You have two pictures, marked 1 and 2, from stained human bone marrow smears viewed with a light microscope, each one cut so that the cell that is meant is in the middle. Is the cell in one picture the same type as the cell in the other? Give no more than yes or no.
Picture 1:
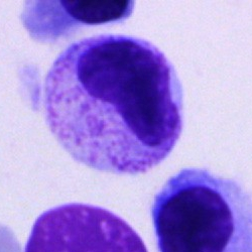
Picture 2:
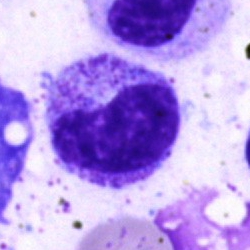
yes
